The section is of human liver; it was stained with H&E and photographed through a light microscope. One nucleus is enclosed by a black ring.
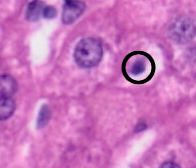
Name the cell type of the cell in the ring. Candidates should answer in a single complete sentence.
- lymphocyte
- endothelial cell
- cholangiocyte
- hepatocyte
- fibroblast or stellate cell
For cell typing purposes, the cell in the ring is a lymphocyte.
